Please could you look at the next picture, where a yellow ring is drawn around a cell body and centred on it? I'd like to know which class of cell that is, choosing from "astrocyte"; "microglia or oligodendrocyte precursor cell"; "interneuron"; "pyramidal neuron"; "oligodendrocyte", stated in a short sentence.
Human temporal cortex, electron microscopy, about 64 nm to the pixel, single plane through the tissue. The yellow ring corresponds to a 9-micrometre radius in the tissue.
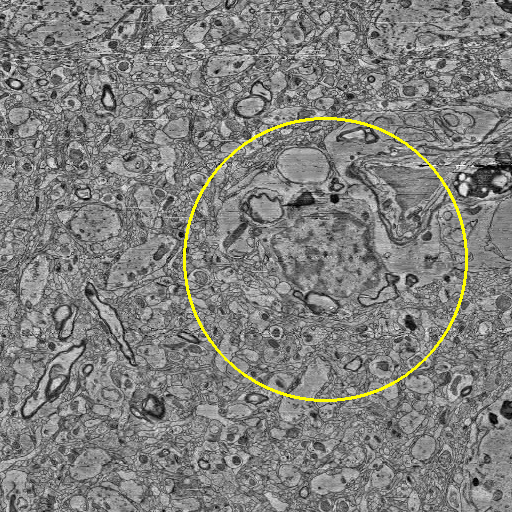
The ring's centre lies on an oligodendrocyte.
